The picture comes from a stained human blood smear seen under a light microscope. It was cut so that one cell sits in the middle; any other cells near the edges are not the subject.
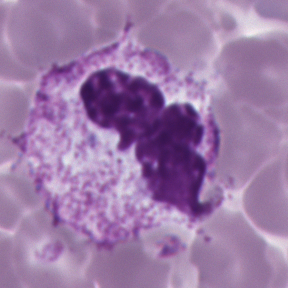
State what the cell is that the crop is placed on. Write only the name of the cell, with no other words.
neutrophil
